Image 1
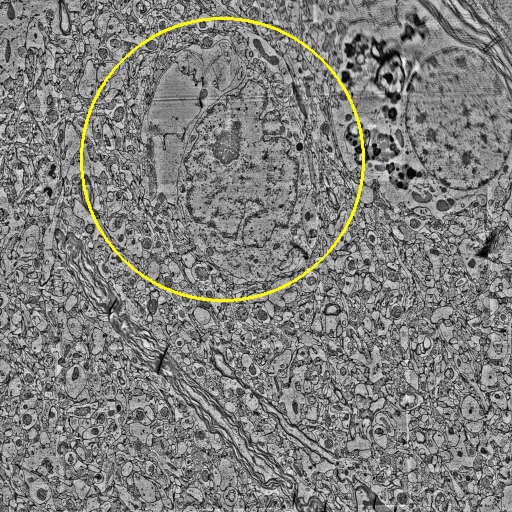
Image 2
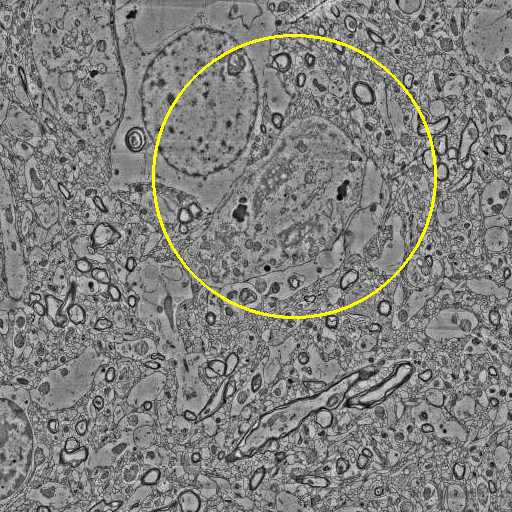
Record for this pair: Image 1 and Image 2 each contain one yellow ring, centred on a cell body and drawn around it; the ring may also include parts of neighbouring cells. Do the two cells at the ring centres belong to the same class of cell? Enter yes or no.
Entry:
yes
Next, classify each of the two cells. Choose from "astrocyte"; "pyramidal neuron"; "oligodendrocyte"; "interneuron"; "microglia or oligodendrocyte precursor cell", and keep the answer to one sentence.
Each of the two cells is an interneuron.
